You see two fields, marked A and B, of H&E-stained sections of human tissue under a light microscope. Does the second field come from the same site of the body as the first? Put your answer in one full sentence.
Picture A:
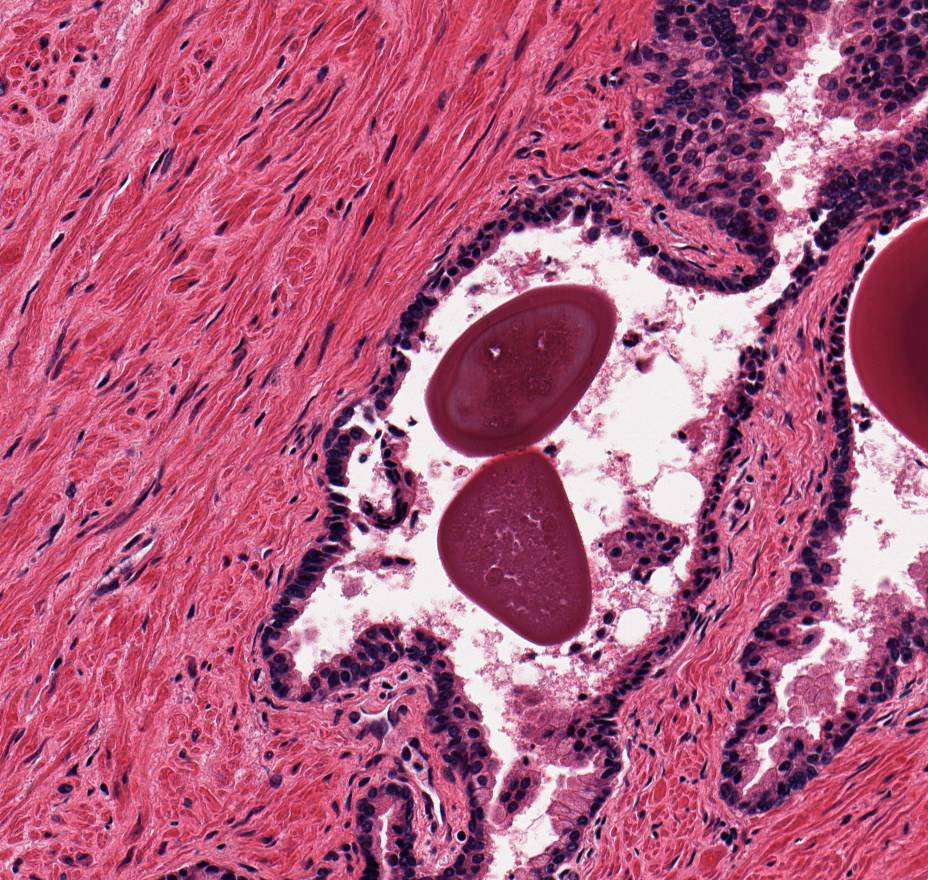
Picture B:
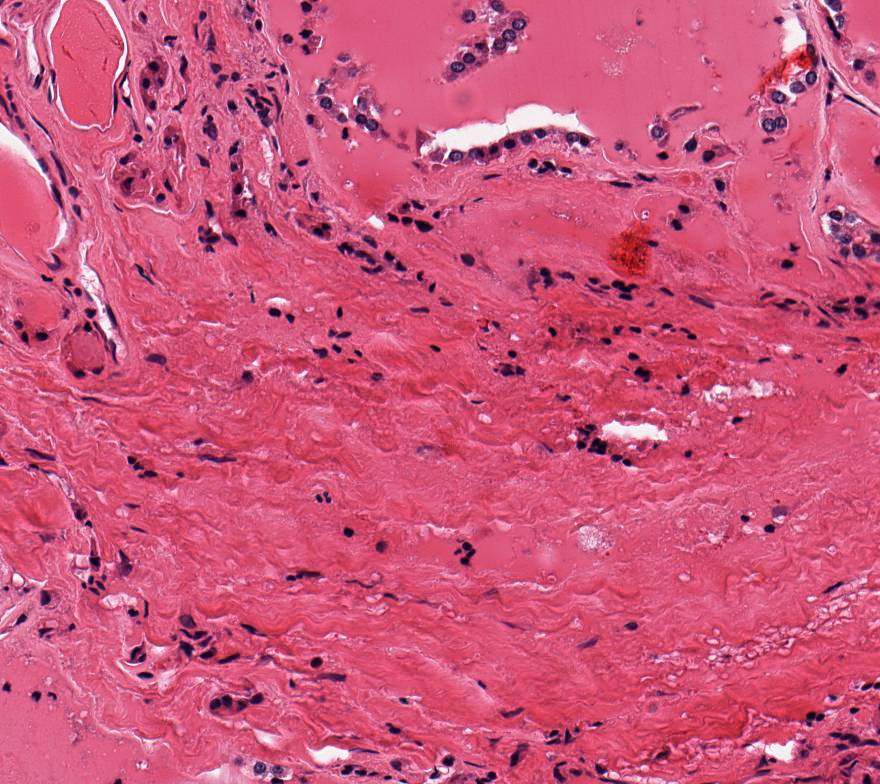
No: picture A comes from the prostate, but picture B comes from the thyroid.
